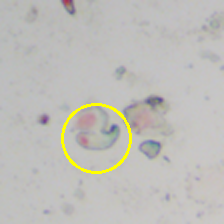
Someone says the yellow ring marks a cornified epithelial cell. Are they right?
They are not: the ring marks a nucleated epithelial cell.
